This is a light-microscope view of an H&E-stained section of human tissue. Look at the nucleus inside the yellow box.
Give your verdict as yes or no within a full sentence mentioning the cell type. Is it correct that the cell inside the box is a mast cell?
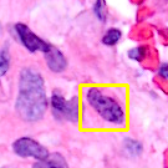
Yes, the cell inside the box is accurately described as a mast cell.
